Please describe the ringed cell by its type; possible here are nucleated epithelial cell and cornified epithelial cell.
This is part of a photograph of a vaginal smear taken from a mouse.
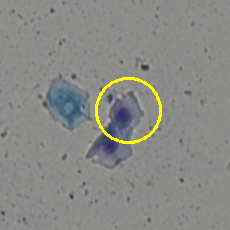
The yellow ring marks a nucleated epithelial cell.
